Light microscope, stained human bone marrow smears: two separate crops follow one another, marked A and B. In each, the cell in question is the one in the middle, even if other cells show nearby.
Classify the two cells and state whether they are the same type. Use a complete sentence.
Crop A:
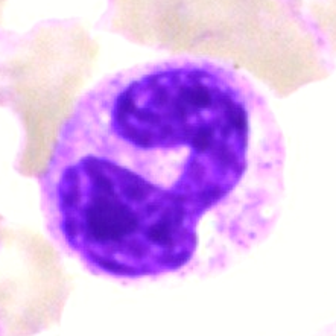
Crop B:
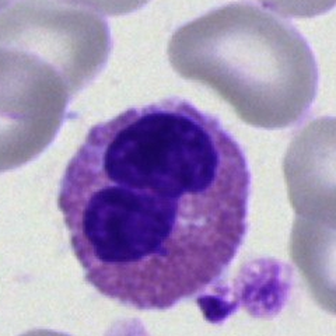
No, it is in crop A that a neutrophil is shown, and in crop B that an eosinophil is shown.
